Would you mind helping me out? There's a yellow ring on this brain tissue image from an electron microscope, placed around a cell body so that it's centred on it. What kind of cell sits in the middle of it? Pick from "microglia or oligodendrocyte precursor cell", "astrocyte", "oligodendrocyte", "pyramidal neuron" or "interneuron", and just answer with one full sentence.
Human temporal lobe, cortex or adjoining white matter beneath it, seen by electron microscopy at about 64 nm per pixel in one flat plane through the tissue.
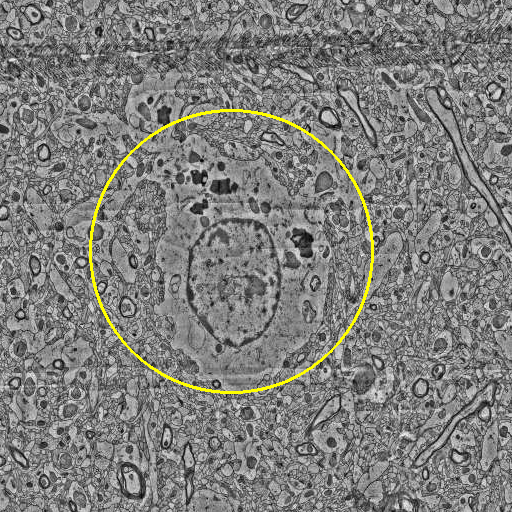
What sits in the middle of that yellow ring is an astrocyte, from your choices.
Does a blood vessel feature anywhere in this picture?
No, there is none.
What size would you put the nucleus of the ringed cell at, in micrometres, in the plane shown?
Approximately 8 micrometres long and 6 micrometres wide, in this plane.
